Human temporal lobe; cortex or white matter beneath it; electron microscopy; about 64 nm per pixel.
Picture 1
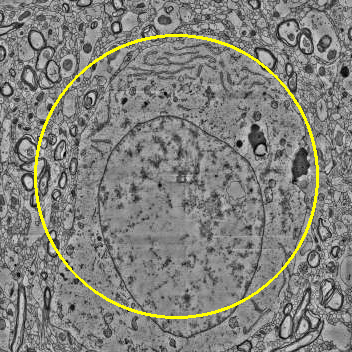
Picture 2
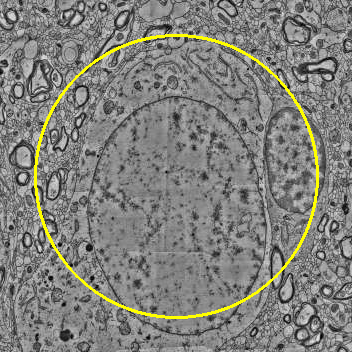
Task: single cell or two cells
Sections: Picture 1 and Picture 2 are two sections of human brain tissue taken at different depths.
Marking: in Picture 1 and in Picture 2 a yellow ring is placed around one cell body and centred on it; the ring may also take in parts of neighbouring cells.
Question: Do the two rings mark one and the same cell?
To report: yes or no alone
yes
